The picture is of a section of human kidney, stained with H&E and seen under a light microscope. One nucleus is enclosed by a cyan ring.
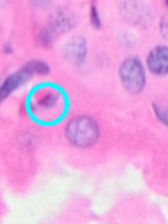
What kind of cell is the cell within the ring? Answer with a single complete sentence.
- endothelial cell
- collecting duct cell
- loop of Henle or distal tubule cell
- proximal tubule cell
This is an endothelial cell.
